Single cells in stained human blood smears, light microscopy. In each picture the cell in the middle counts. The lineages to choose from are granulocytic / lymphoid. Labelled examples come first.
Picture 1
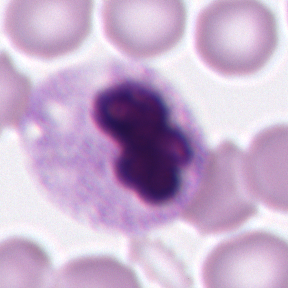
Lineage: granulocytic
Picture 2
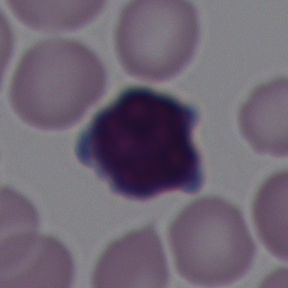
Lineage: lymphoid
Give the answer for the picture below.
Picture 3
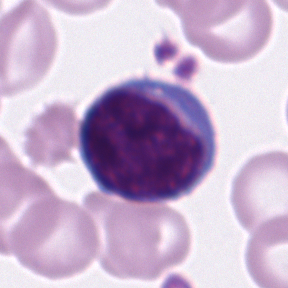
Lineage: lymphoid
